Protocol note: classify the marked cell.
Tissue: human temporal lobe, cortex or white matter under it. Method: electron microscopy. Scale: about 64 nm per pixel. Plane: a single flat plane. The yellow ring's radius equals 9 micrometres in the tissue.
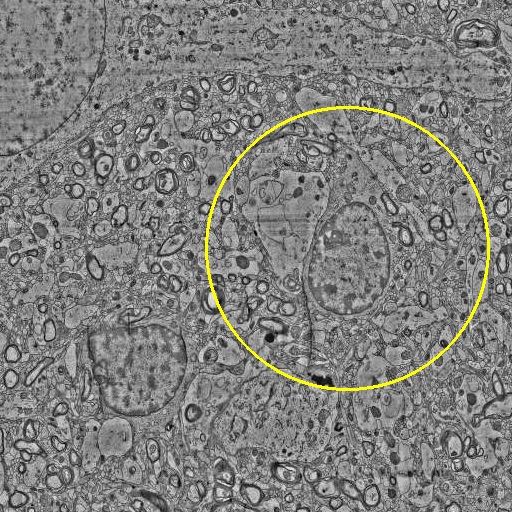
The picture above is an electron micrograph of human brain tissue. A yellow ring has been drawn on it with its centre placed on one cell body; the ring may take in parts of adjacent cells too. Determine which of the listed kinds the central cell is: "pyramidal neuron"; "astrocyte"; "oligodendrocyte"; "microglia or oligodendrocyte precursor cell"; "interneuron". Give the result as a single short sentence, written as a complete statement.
The central cell is an oligodendrocyte.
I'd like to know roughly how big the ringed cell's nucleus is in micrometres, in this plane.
In this plane the nucleus spans approximately 7 by 5 micrometers.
